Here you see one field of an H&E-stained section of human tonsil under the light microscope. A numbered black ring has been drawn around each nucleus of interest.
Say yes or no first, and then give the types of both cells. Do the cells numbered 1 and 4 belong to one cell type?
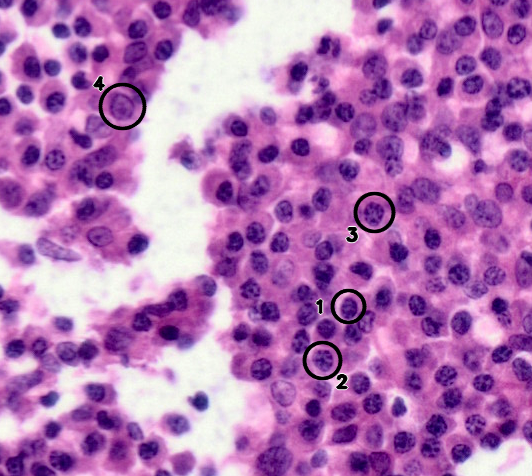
No, cell 1 should be called a plasma cell, and cell 4 should be called a squamous epithelial cell.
